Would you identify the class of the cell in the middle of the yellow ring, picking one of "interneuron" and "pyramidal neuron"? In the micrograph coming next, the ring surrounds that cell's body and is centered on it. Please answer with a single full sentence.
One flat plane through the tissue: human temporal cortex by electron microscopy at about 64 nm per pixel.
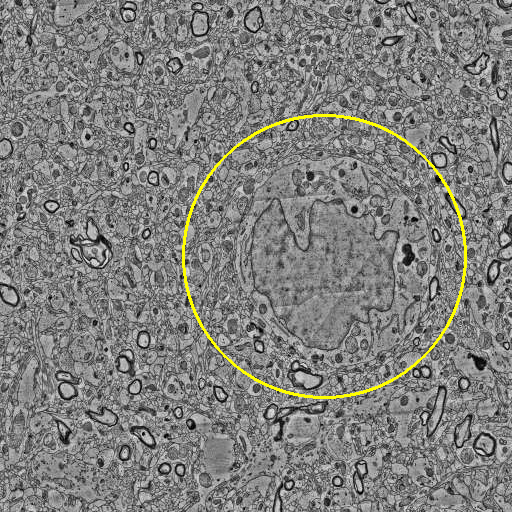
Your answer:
In the micrograph, it is an interneuron whose body lies at the ring's center.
